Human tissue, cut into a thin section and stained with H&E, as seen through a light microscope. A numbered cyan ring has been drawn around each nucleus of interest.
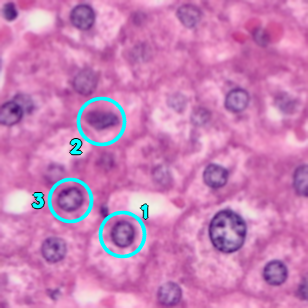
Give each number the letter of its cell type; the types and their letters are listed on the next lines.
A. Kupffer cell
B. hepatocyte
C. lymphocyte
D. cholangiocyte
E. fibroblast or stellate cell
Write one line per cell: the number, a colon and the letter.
1: B
2: A
3: B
